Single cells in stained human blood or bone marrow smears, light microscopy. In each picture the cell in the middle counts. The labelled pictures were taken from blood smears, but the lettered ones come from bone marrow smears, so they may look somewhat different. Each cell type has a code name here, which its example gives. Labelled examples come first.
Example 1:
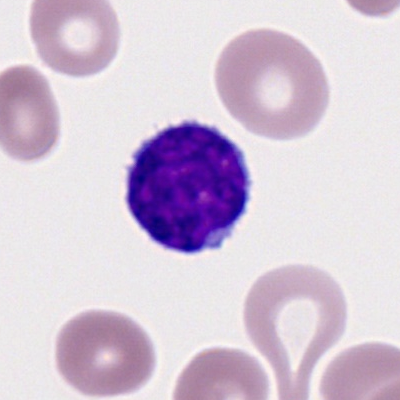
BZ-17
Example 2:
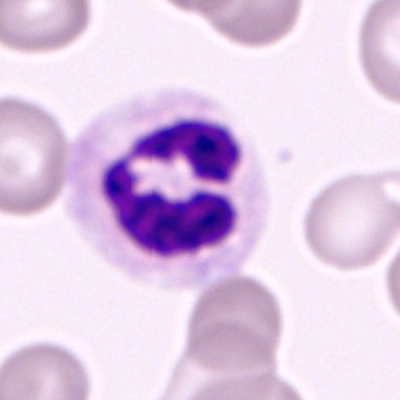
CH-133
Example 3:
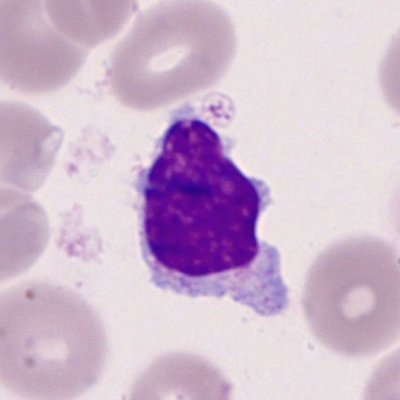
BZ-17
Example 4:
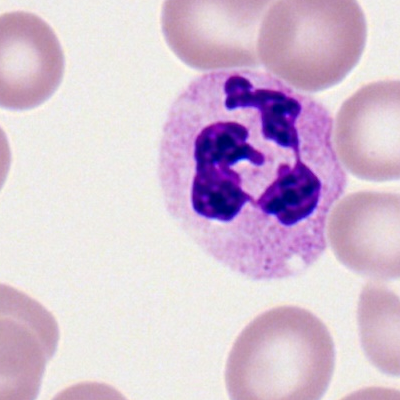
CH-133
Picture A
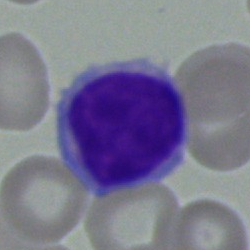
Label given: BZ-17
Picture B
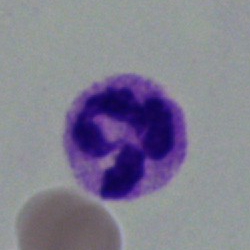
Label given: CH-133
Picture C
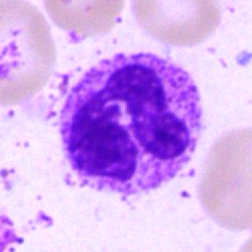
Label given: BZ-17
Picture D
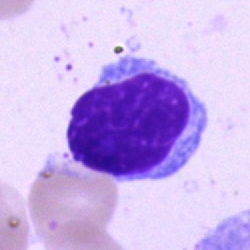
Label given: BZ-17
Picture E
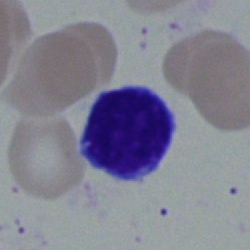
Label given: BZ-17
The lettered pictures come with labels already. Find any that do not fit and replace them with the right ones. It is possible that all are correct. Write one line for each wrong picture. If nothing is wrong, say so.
C: CH-133, not BZ-17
